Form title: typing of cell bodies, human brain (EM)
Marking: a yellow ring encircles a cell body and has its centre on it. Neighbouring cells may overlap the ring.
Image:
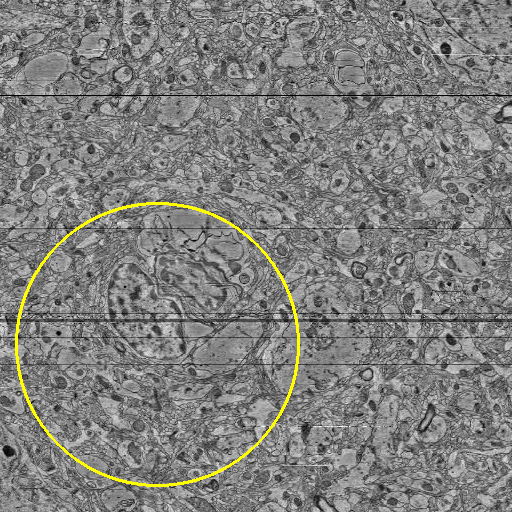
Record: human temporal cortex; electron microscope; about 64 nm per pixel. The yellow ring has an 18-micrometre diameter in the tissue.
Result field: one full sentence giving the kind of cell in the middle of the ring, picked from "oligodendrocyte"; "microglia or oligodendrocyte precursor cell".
In the picture, the ring is centred on a microglial cell or oligodendrocyte precursor cell, whose cell body it encircles.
